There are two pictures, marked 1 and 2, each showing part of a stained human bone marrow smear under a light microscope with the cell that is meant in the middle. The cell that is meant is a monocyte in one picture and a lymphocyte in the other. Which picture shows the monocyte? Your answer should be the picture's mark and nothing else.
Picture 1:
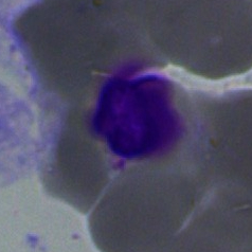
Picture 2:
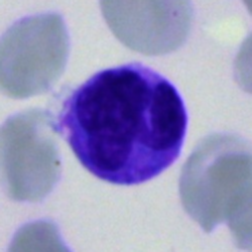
2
